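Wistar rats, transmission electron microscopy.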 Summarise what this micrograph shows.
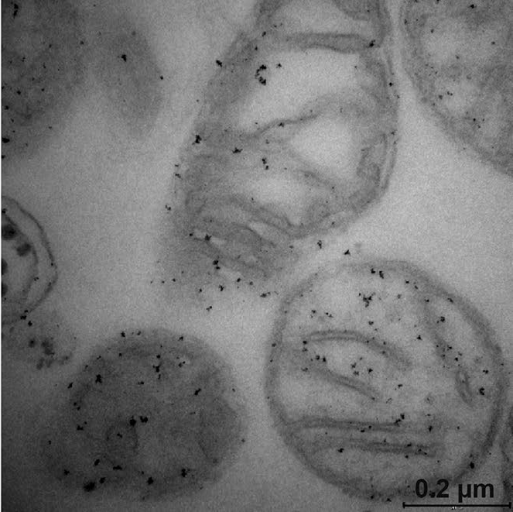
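At this high magnification only a few isolated mitochondria fill the view. The cristae here are sparse and the matrix fairly light. Fine dark granules are scattered over the mitochondria and the space between them.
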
